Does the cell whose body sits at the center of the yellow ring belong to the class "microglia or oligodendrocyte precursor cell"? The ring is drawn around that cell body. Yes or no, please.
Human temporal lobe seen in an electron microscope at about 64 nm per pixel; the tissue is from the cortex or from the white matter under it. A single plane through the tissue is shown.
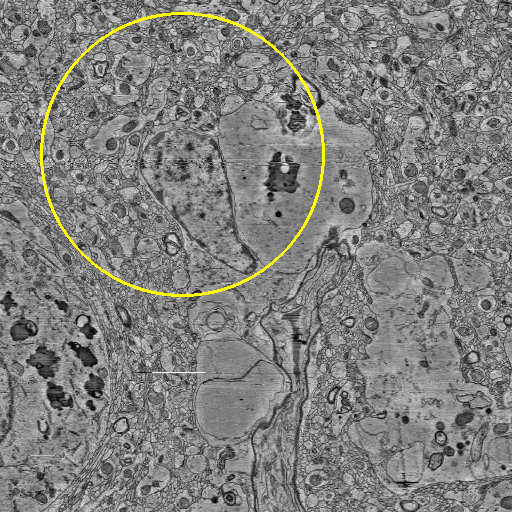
Yes, it belongs to that class.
